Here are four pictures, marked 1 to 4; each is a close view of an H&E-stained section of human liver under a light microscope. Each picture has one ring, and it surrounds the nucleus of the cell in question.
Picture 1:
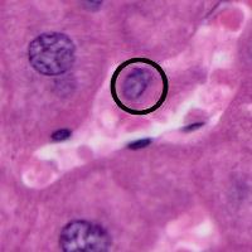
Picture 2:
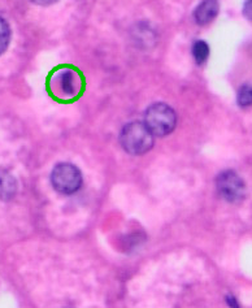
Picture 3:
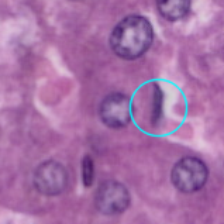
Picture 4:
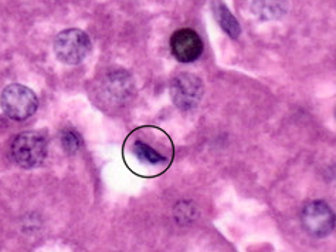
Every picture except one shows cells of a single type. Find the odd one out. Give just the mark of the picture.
1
